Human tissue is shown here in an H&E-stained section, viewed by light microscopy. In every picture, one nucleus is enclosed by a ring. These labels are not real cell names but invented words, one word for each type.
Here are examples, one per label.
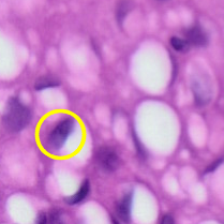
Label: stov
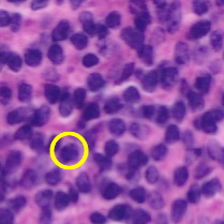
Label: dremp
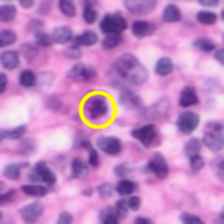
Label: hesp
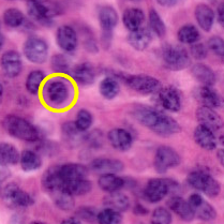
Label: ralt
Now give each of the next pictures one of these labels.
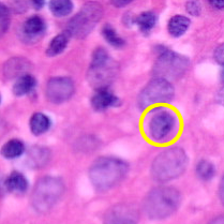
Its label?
stov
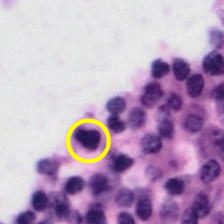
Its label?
hesp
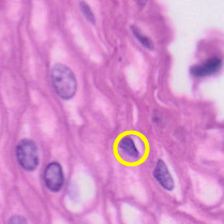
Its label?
stov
